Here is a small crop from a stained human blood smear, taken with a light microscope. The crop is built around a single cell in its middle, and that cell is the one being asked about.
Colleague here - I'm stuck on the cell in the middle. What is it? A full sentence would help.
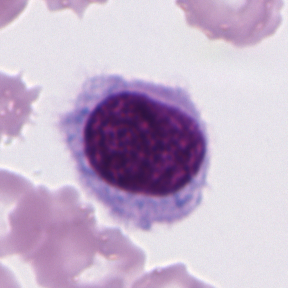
The central cell shown in this smear crop is a hairy cell.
